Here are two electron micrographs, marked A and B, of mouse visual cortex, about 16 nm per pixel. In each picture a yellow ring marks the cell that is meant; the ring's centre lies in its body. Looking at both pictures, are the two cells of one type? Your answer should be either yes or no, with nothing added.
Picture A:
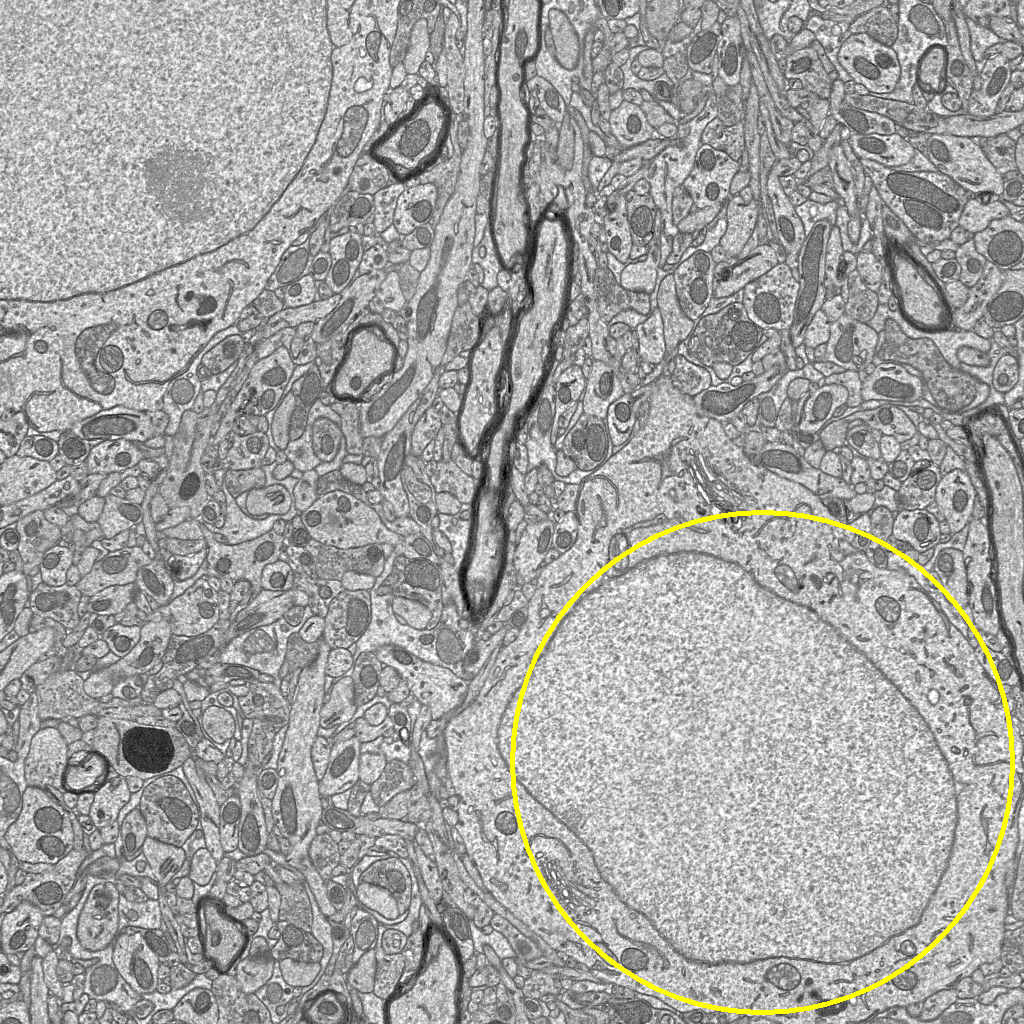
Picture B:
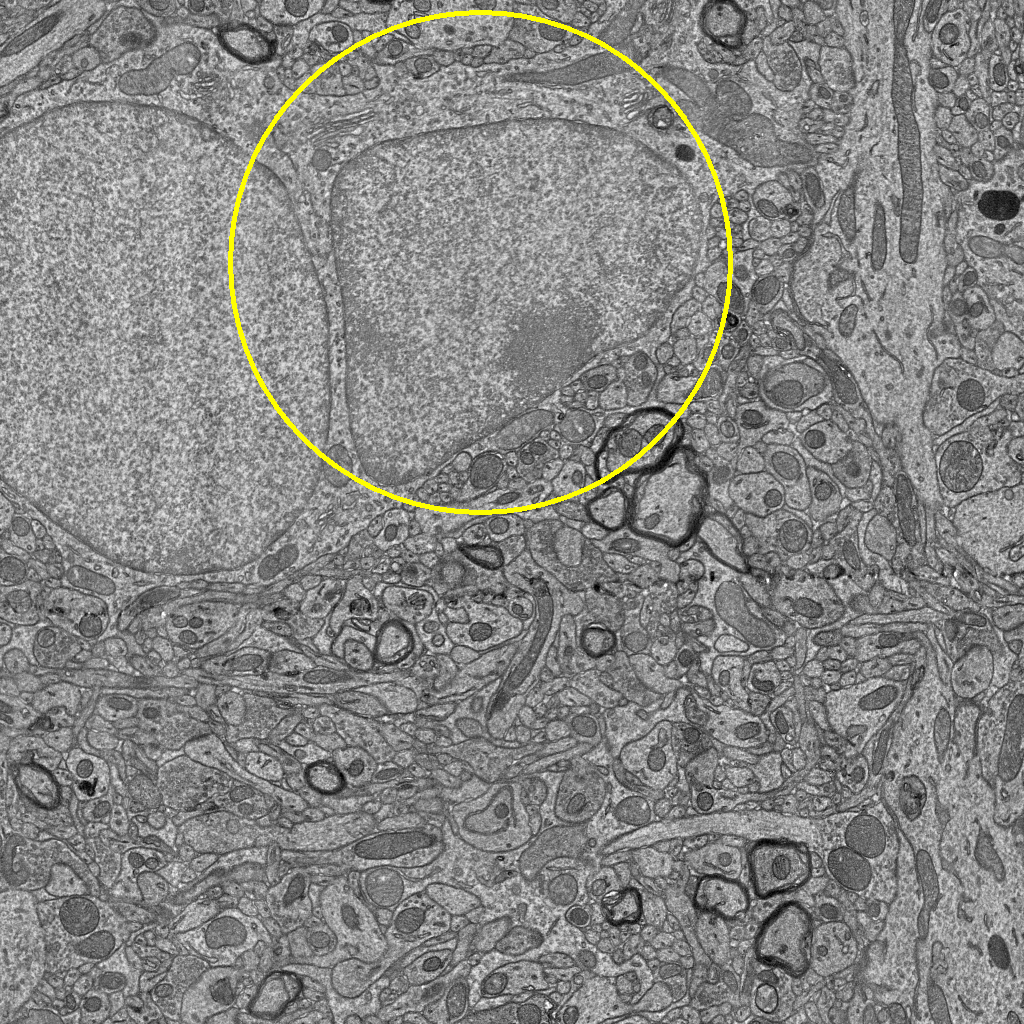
no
